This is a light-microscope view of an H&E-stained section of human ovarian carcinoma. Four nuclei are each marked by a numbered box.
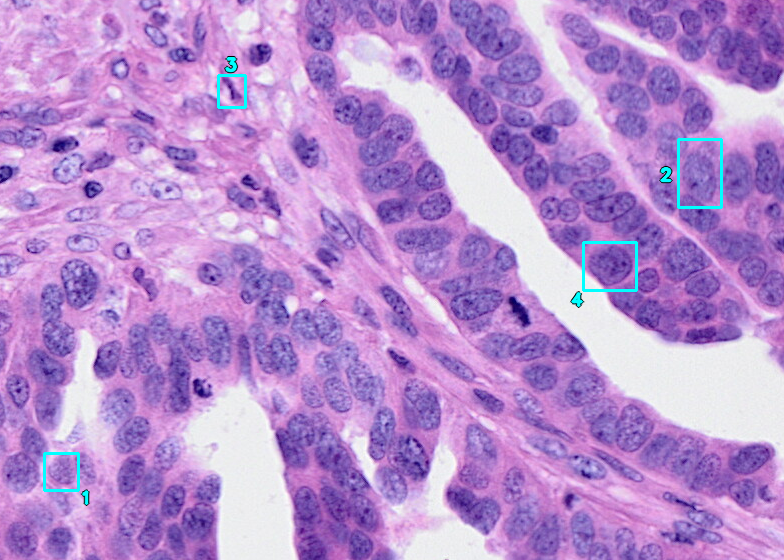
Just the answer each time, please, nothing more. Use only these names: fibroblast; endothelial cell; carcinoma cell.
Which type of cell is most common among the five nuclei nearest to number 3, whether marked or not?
endothelial cell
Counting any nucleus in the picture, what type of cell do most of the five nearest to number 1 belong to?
carcinoma cell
